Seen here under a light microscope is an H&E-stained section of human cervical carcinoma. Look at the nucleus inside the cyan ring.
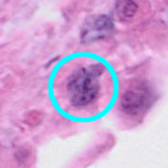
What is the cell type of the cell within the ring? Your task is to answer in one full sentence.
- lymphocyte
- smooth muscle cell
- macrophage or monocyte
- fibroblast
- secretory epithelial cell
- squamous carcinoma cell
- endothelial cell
Recorded by type, the cell within the ring is a macrophage or monocyte.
